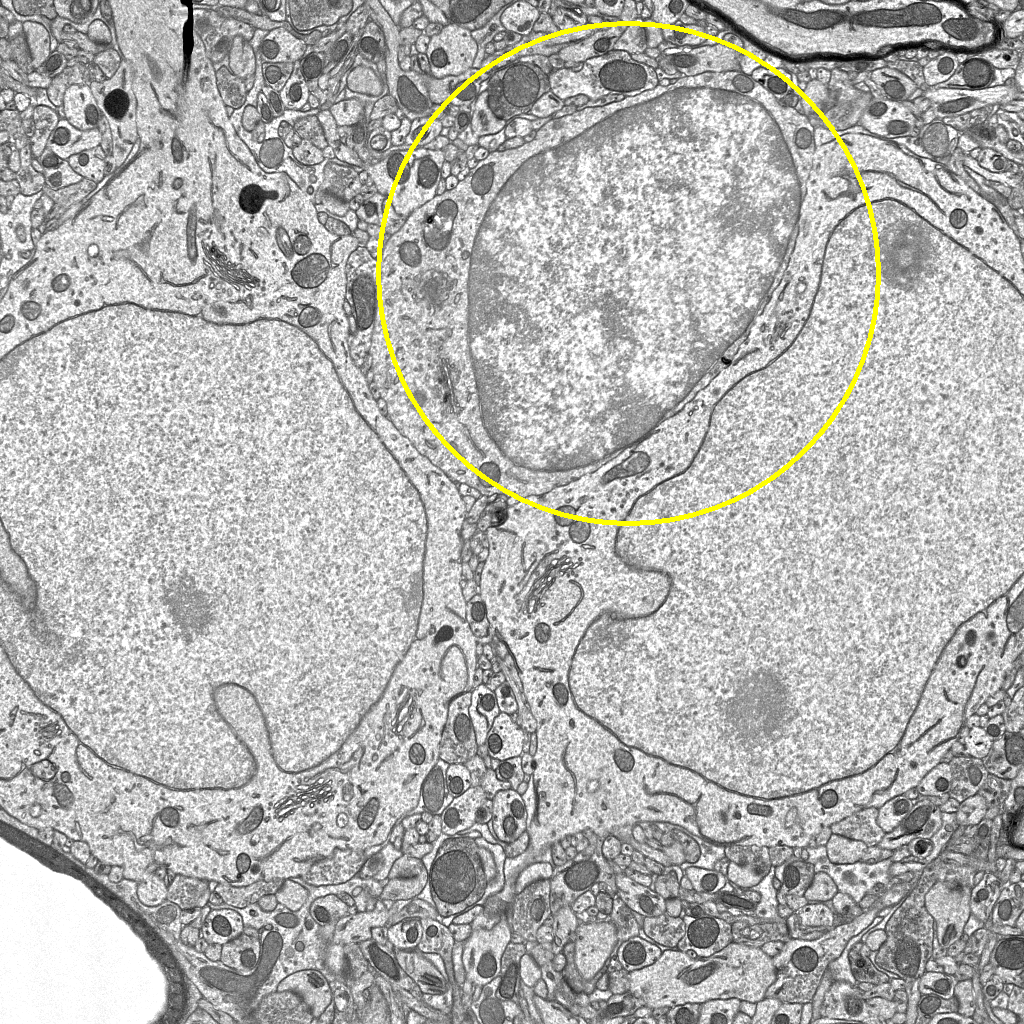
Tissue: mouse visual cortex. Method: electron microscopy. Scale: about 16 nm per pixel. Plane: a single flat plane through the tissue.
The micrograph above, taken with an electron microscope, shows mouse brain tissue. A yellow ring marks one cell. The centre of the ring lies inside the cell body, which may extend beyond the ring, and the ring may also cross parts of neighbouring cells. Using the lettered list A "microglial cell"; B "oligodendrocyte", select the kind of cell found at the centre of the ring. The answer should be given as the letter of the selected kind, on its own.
B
